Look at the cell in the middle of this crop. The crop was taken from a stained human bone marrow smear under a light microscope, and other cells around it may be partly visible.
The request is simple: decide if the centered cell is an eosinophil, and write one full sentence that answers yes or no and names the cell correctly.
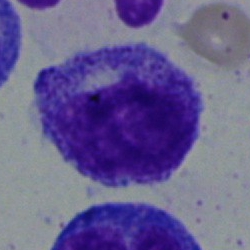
No, it is not an eosinophil that lies in the middle but a myelocyte.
